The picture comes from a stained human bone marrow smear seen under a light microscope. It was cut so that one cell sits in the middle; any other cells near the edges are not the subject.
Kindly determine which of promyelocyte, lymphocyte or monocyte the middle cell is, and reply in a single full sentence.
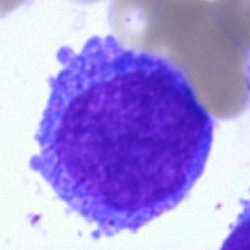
The cell at the central position in this crop is a promyelocyte.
